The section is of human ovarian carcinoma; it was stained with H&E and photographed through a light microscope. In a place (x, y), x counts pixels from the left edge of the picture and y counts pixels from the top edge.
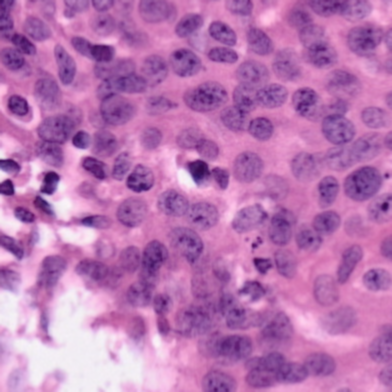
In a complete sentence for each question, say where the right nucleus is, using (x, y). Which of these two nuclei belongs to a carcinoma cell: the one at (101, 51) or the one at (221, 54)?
As for which of the two, the nucleus at (101, 51) belongs to a carcinoma cell.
